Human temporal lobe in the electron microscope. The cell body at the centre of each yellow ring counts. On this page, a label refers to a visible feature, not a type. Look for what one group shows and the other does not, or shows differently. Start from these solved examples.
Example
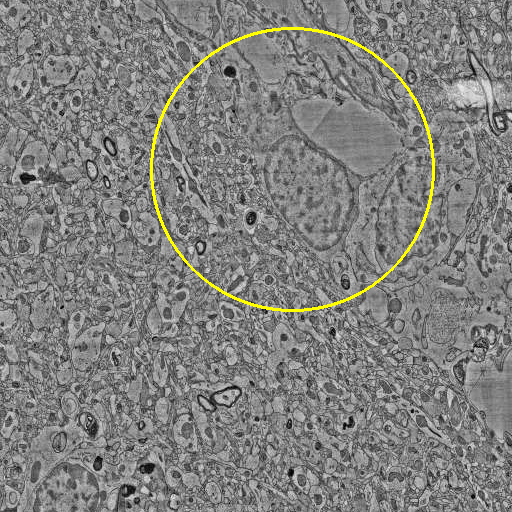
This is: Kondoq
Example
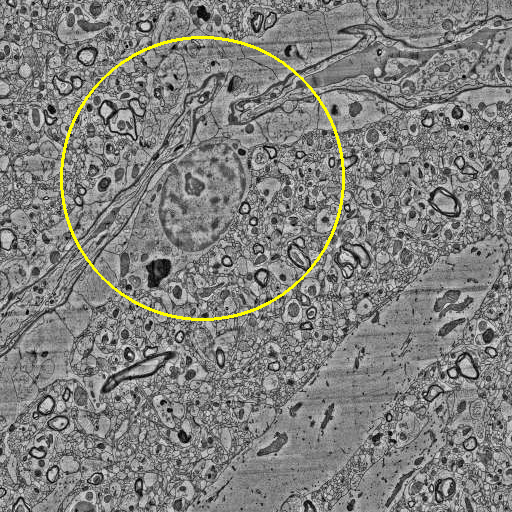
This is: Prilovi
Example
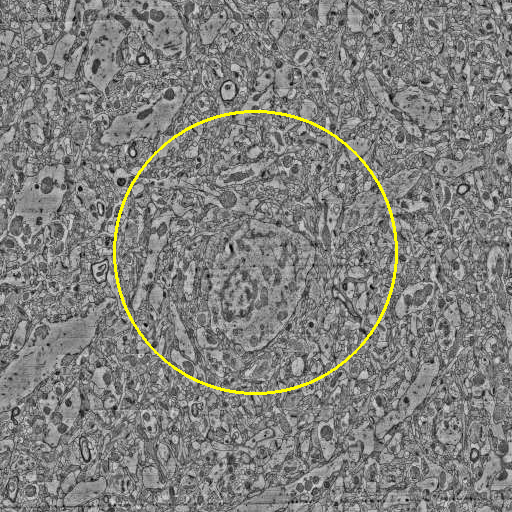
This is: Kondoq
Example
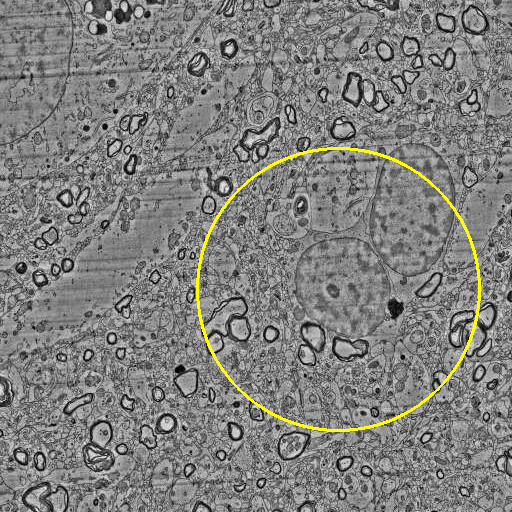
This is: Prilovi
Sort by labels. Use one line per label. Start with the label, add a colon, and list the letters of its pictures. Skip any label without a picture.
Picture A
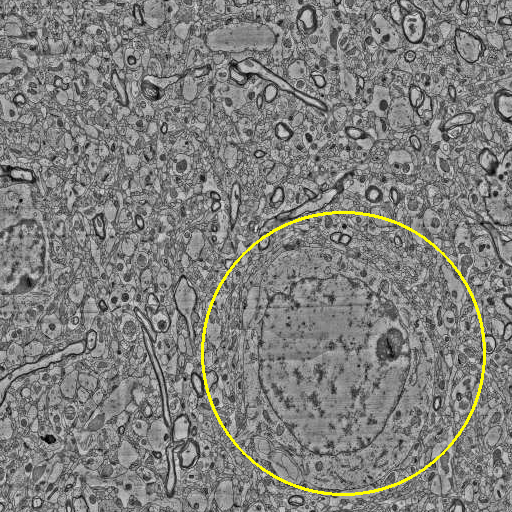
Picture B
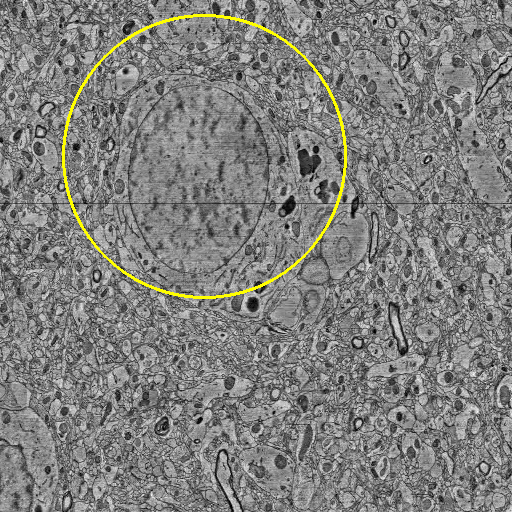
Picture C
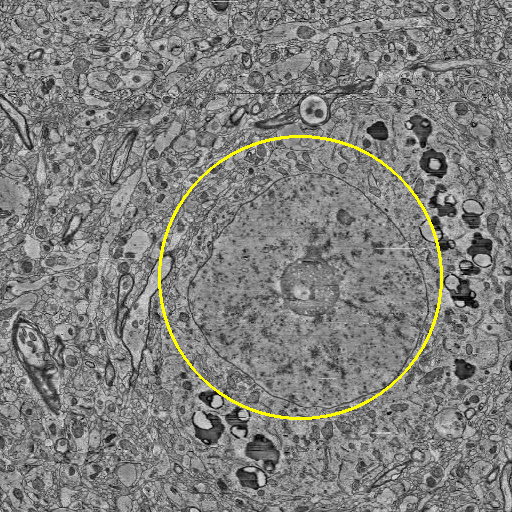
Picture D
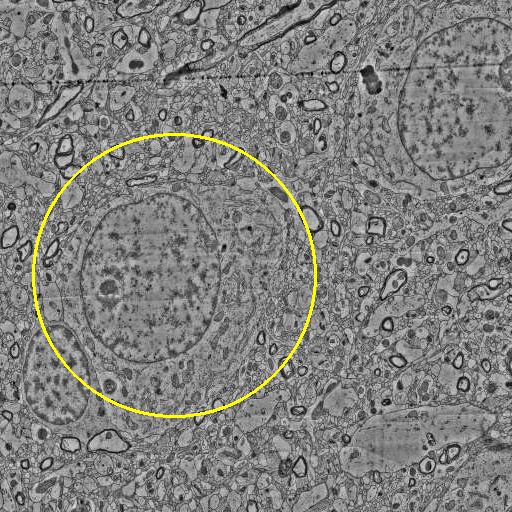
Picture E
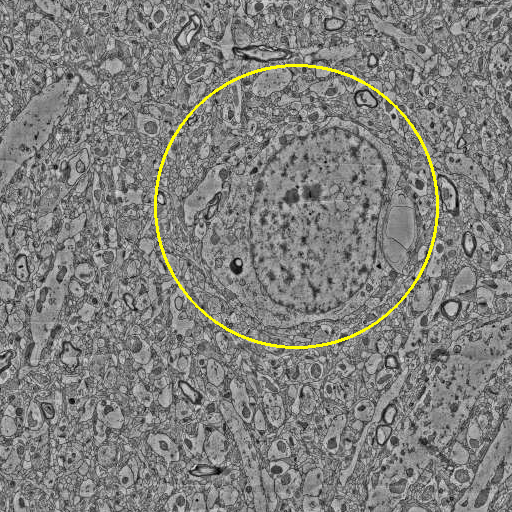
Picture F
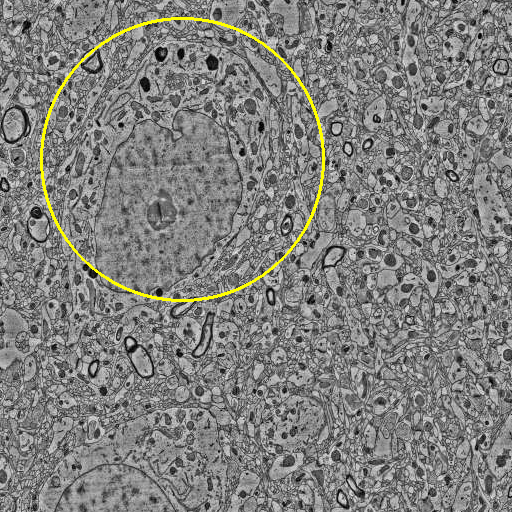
Kondoq: B
Prilovi: A, C, D, E, F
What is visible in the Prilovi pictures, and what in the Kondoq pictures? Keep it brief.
Prilovi: nucleolus seen; Kondoq: no nucleolus seen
